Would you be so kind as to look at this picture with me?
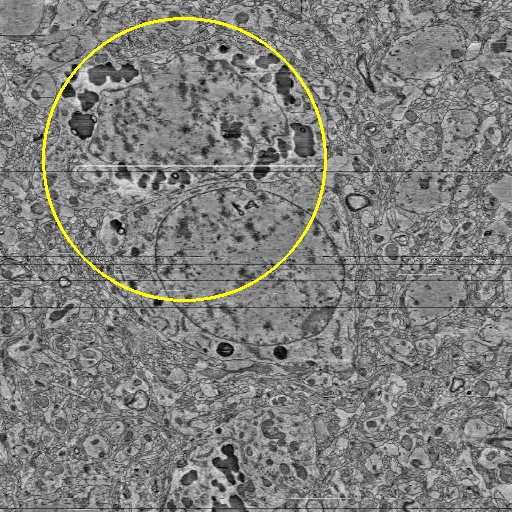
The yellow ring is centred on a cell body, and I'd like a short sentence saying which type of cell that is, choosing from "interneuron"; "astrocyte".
The cell body in the ring belongs to an interneuron.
